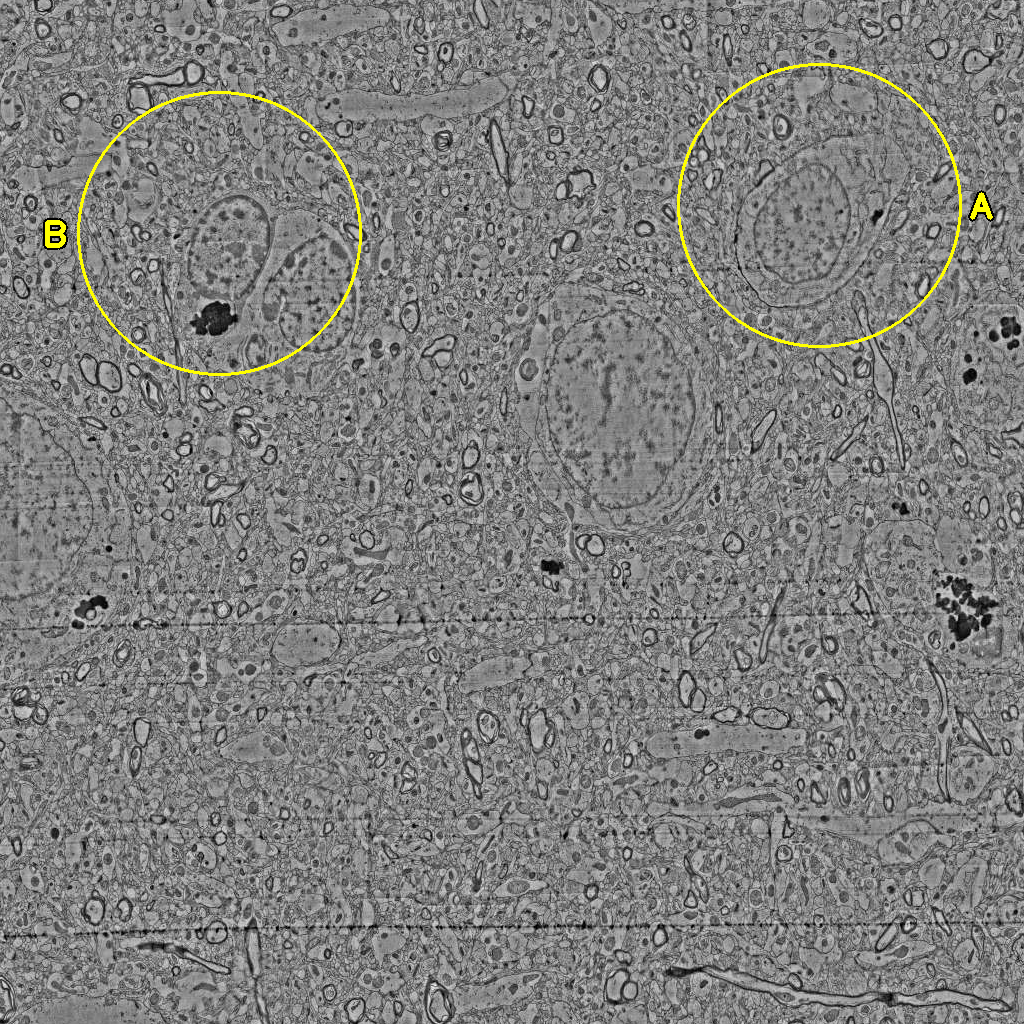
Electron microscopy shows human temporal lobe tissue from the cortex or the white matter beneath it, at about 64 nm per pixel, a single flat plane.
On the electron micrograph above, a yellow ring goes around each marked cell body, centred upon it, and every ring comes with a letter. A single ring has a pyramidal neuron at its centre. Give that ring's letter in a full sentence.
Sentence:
The ring holding the cell asked for at its centre bears the letter A.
